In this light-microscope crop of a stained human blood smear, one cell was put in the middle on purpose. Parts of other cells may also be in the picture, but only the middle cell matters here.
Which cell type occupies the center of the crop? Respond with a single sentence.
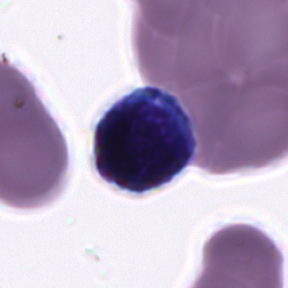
The cell shown in the center of this light-microscope crop is a plasma cell.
